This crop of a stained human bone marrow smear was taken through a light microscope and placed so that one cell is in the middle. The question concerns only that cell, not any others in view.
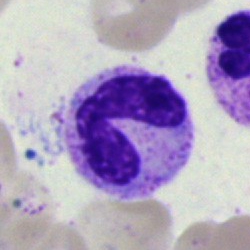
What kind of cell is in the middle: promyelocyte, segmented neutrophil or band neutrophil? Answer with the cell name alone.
band neutrophil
